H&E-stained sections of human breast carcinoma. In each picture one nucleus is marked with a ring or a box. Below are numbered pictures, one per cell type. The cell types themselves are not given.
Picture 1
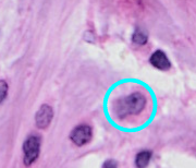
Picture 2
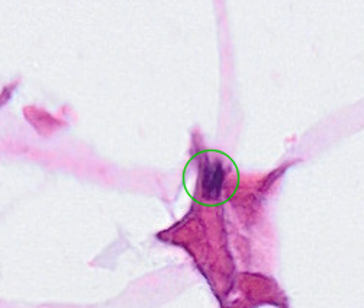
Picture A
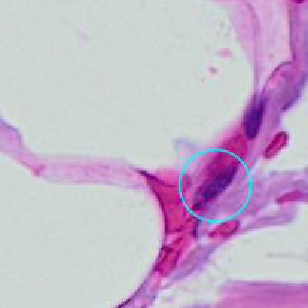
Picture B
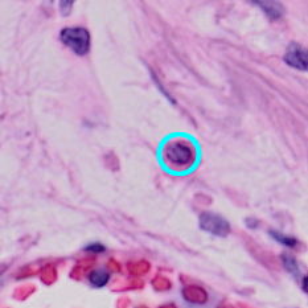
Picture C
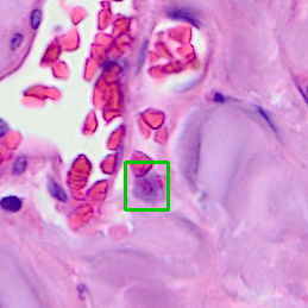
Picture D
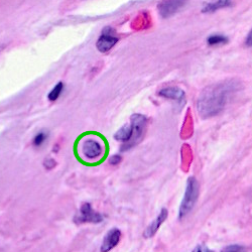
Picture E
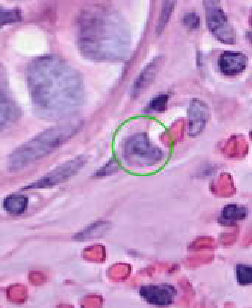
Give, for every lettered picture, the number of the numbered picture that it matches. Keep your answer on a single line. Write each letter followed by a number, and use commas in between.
A 2, B 1, C 2, D 1, E 2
